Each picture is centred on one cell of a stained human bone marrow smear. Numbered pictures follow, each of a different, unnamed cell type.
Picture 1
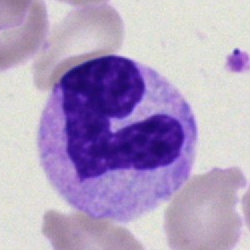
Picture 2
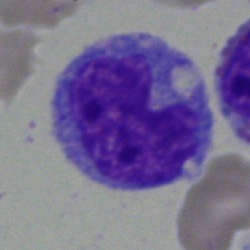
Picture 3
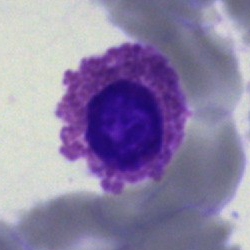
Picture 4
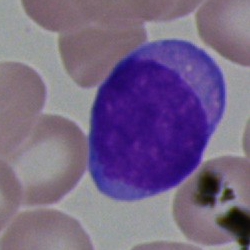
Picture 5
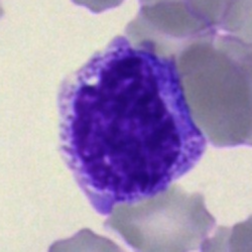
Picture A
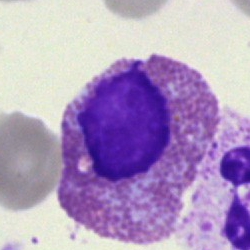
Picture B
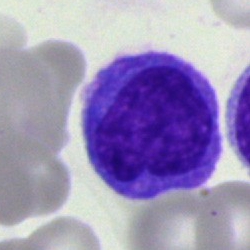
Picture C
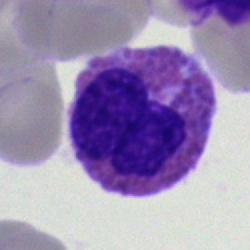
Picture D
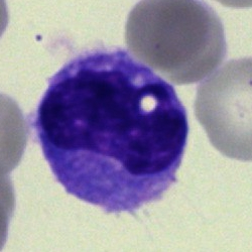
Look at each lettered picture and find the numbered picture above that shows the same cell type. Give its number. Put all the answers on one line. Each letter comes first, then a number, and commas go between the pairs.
A 3, B 2, C 3, D 2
